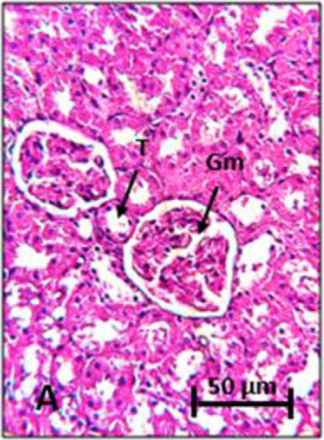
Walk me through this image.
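This is kidney cortex showing glomeruli and tubules. Two rounded glomeruli, each a compact tuft of capillary loops crowded with purple nuclei, sit within clear spaces bordered by a thin capsule. Around them lie many tubules cut in cross-section, lined by cuboidal epithelial cells with pink, granular cytoplasm and round purple nuclei, enclosing small, irregular pale lumens. A small tubule profile lies between the two glomeruli. The tubules are closely packed with little tissue between them, and the overall architecture appears orderly, without obvious loss of cells or disruption.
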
